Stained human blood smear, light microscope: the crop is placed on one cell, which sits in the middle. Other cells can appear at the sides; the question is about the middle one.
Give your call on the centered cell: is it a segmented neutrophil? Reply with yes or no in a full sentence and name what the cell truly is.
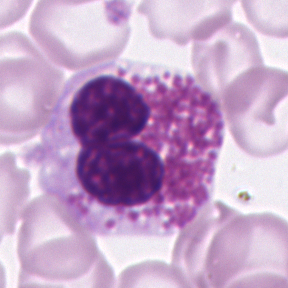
No, rather than being a segmented neutrophil, the central cell is an eosinophil.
